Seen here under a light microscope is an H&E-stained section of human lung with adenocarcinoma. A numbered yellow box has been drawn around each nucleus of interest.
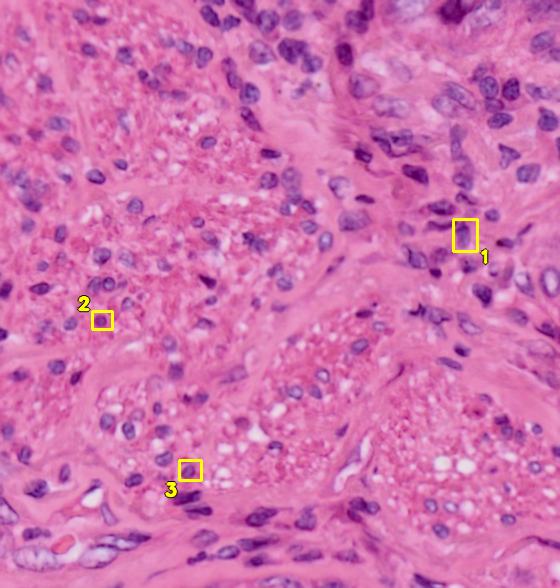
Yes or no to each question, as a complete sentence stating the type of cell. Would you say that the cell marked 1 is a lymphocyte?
Yes, the marked cell with number 1 is a lymphocyte.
